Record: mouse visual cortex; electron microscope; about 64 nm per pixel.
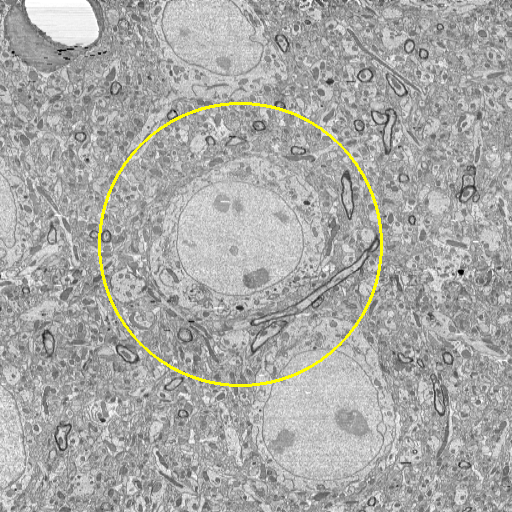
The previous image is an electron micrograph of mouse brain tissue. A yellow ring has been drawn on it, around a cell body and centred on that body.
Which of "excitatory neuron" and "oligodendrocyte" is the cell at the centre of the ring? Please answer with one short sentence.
The cell body at the centre of the ring belongs to an excitatory neuron.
